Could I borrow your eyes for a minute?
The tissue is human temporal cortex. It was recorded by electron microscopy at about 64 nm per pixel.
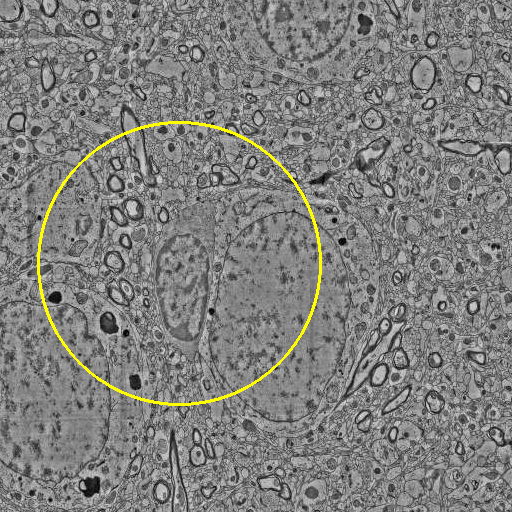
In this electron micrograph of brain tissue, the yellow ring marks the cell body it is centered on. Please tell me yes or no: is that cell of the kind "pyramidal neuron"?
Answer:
no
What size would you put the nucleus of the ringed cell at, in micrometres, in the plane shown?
The nucleus of the ringed cell is approximately 7 by 3 micrometres in this plane.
